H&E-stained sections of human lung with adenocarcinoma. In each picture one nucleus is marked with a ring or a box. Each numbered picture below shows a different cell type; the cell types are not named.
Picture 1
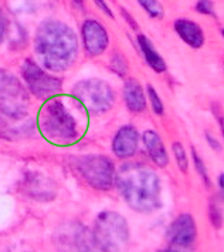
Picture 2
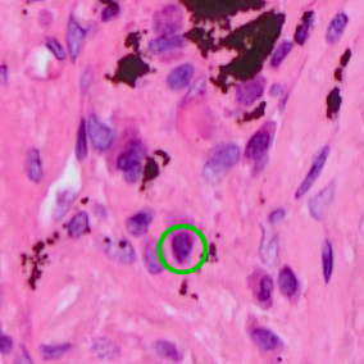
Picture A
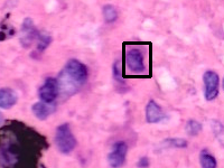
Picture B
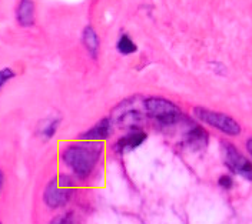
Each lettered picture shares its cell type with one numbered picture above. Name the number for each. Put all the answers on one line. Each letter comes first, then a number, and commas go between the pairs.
A 2, B 1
